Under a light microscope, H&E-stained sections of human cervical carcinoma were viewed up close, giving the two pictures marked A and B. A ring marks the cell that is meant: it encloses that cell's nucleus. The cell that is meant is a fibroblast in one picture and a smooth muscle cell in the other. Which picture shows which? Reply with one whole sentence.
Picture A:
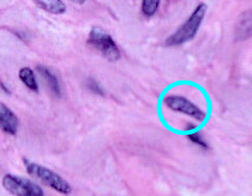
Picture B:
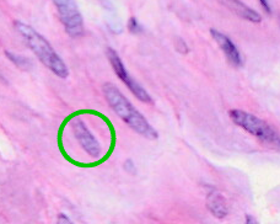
It is picture A that shows a fibroblast, and picture B that shows a smooth muscle cell.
